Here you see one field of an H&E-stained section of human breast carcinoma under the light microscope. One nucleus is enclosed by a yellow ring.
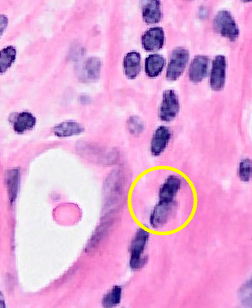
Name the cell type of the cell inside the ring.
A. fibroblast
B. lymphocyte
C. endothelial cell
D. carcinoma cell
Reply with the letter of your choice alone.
B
